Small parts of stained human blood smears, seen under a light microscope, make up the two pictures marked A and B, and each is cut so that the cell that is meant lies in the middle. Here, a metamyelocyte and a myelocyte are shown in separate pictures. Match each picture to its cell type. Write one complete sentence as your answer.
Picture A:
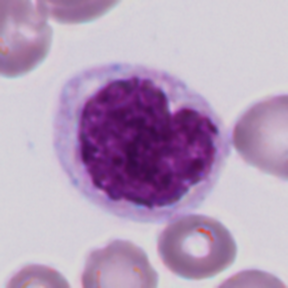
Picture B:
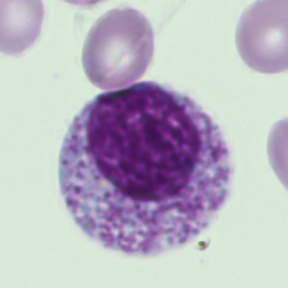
Picture A is of a metamyelocyte, and picture B is of a myelocyte.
